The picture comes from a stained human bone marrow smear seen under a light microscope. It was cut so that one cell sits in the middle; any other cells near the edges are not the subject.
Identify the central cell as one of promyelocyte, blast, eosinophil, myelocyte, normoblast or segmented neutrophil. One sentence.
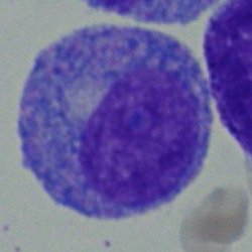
In the middle of this smear crop is a promyelocyte.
